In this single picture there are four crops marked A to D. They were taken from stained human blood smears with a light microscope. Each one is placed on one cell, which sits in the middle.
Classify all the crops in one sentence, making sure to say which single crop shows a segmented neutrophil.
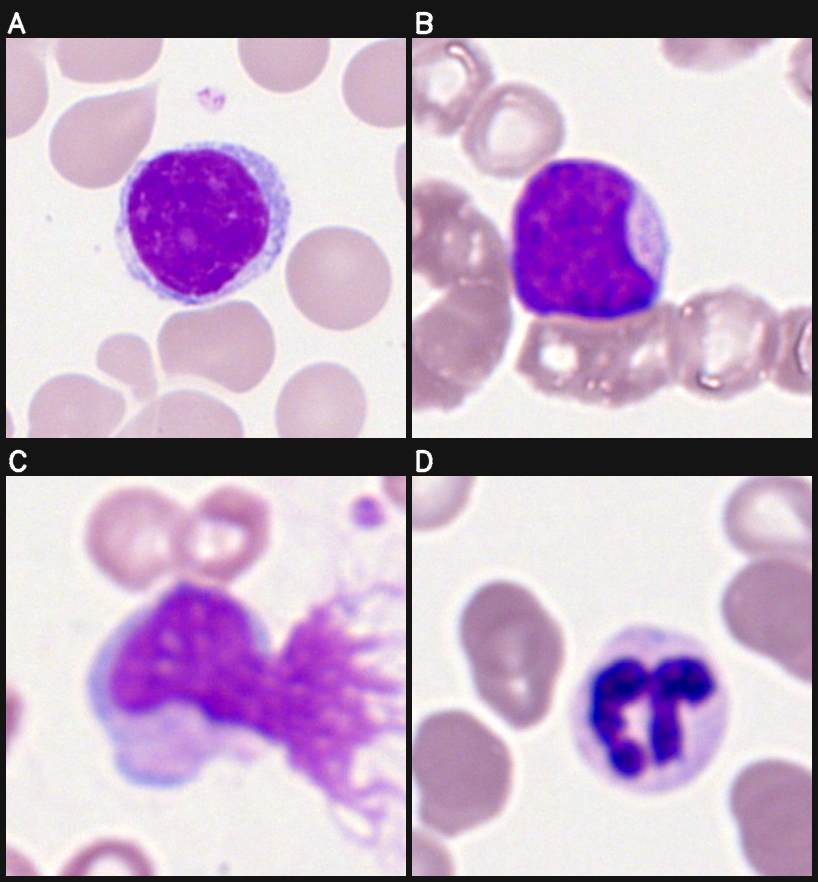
In the series, crop D depicts a segmented neutrophil, while crop A is a lymphocyte, crop B is a myeloblast and crop C is a monocyte.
